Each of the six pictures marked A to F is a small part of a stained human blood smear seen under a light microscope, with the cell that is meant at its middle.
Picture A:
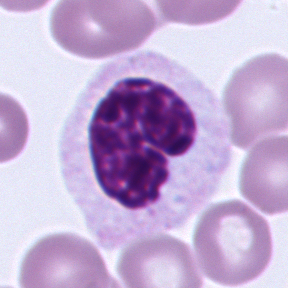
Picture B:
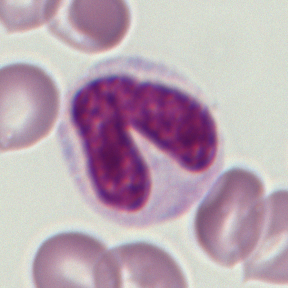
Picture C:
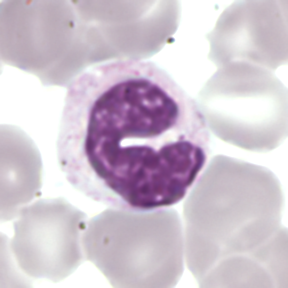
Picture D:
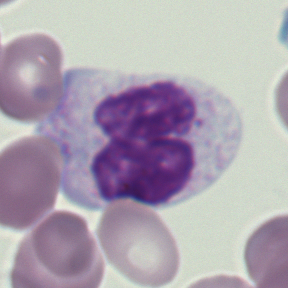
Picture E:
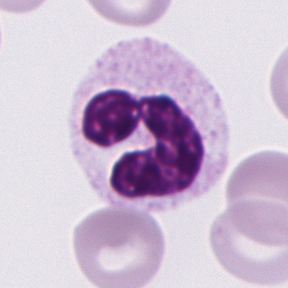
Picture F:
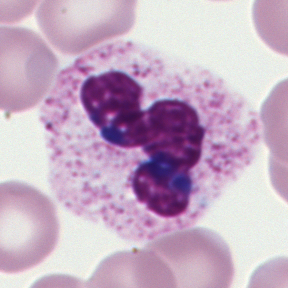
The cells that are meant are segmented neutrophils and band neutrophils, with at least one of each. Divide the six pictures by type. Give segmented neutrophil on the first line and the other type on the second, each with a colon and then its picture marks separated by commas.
segmented neutrophil: D, E, F
band neutrophil: A, B, C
